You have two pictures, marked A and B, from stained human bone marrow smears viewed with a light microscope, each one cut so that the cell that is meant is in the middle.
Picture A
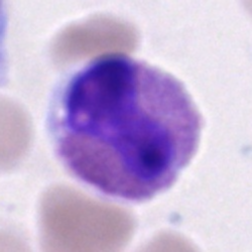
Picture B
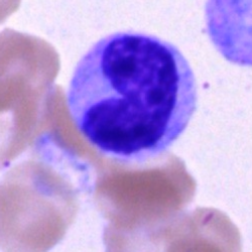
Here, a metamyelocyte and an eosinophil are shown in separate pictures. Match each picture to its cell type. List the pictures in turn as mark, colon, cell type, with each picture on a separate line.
A: eosinophil
B: metamyelocyte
